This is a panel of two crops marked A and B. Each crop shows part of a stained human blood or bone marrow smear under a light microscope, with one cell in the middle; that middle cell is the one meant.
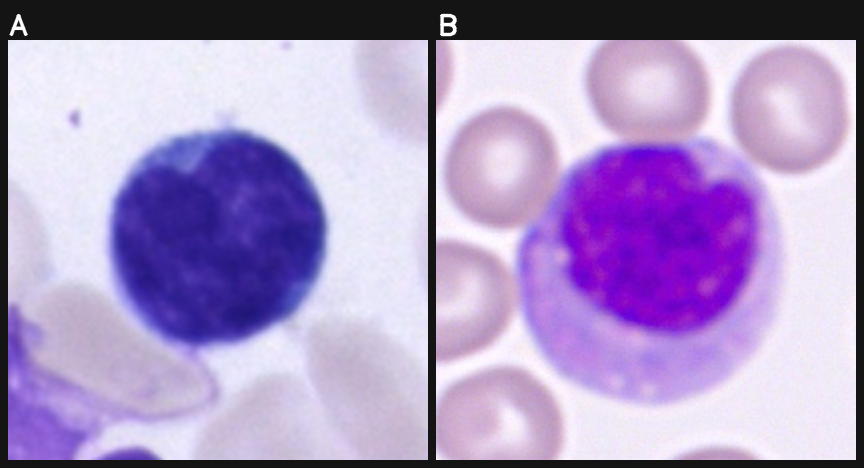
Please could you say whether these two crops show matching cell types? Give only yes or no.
no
